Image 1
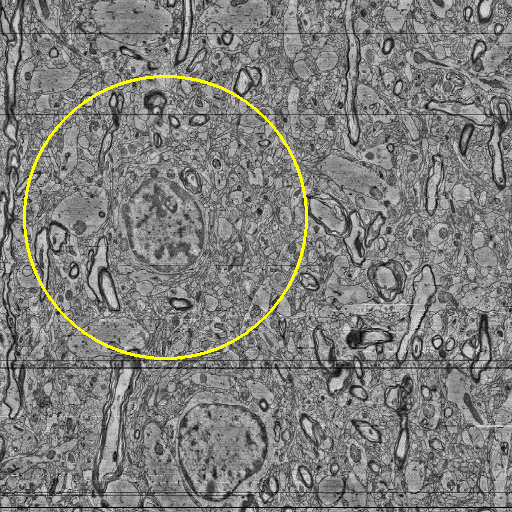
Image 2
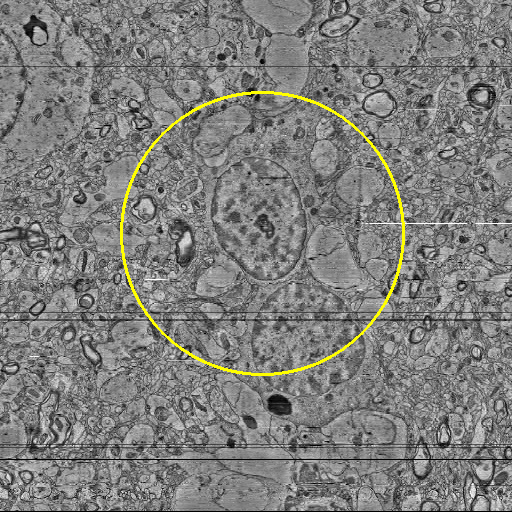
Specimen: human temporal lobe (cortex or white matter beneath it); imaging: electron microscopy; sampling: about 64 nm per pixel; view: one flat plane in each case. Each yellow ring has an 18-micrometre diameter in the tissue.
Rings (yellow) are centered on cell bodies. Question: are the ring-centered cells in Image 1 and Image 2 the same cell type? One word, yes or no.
yes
